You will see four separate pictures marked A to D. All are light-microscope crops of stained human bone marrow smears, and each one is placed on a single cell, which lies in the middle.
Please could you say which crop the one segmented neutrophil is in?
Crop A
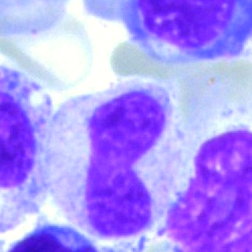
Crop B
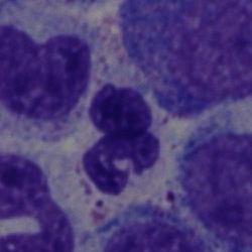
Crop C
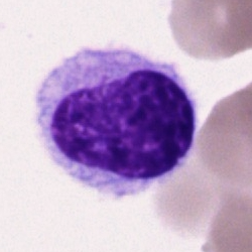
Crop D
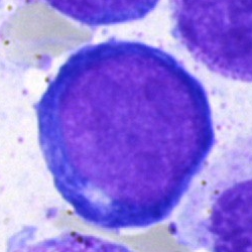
B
